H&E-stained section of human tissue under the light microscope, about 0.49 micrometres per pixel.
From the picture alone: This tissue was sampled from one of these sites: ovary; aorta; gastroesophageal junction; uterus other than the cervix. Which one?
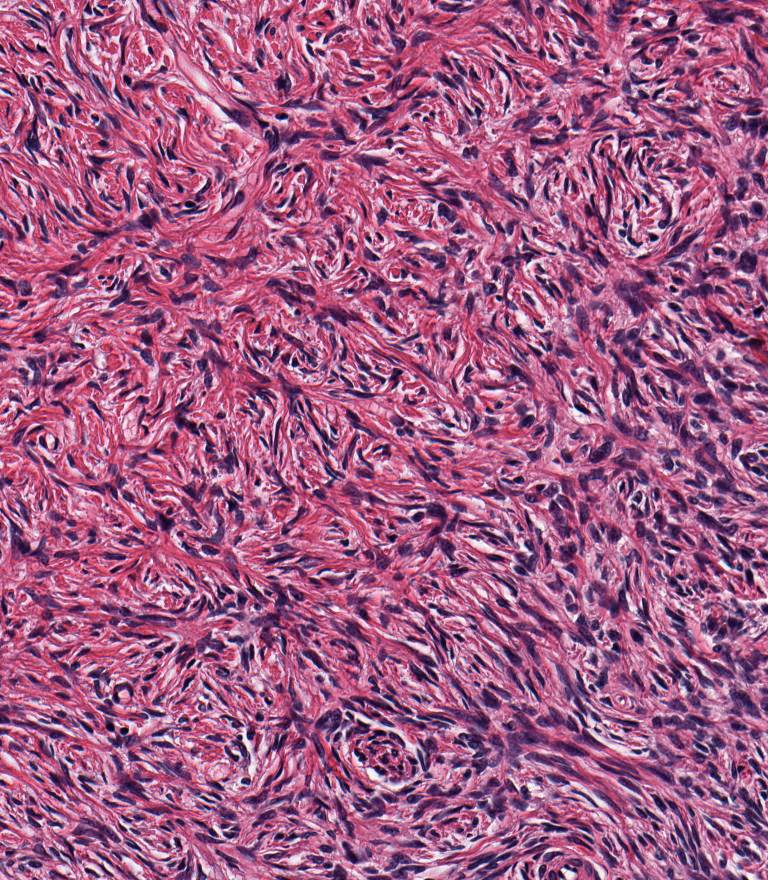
ovary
